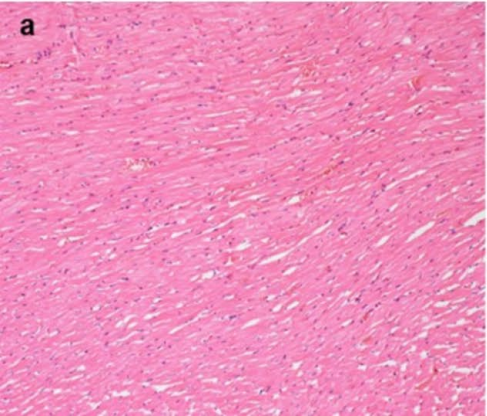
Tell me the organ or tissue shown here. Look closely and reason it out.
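Heart. Long, parallel, pink-staining muscle fibers fill the field. Small elongated nuclei lie within the fibers. Fibers are closely packed with thin clefts between them.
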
